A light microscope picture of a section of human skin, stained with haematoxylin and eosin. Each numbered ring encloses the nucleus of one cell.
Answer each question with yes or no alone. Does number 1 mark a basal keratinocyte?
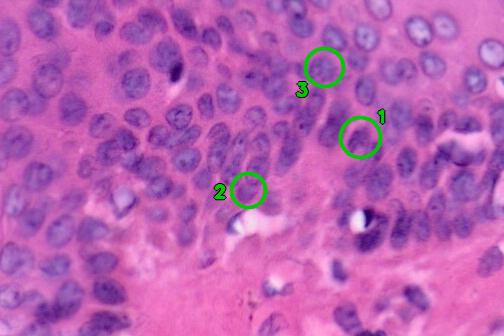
yes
